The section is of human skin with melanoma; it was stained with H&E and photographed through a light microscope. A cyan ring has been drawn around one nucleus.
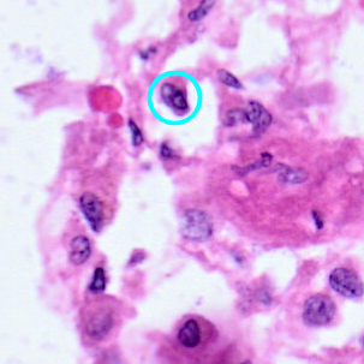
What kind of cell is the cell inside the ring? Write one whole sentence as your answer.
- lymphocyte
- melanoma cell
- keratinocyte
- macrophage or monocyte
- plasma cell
The cell inside the ring appears to be a macrophage or monocyte.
